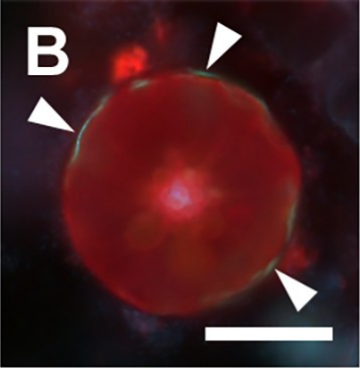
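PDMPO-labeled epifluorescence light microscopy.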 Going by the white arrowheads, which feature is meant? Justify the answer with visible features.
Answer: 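Islands of concurrent silicification of the cell wall. Small separate green patches lie at the edge of the round cell. The arrowheads point to these patches at three places on the rim.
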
